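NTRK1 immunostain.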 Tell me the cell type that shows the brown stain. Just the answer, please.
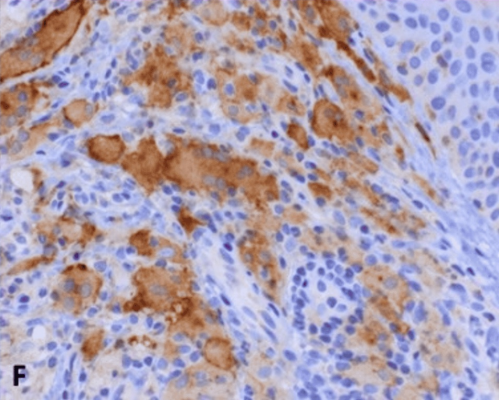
Histiocytes.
